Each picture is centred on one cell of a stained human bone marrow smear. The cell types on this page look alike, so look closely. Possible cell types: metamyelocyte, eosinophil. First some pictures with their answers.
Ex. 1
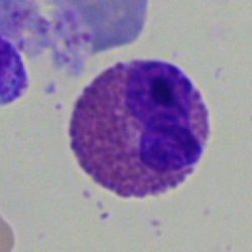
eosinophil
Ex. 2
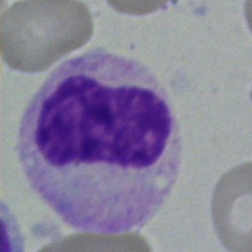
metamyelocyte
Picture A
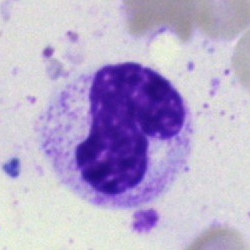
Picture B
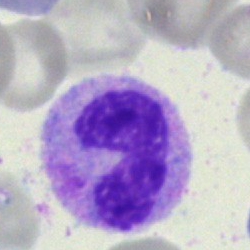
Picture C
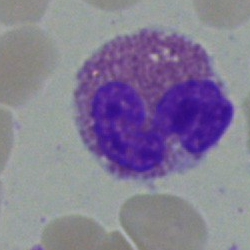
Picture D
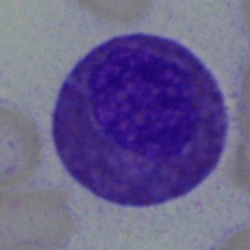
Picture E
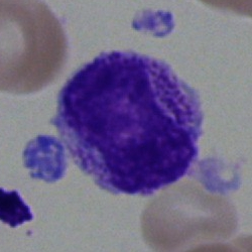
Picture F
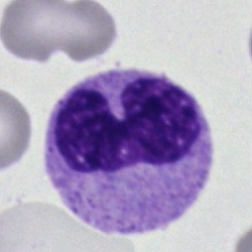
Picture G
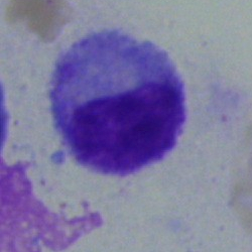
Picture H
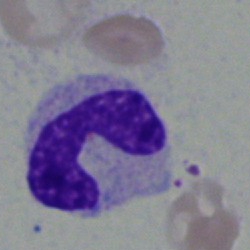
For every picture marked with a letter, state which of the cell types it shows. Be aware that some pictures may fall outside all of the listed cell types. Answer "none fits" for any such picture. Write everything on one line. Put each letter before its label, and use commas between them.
A none fits, B none fits, C eosinophil, D eosinophil, E metamyelocyte, F none fits, G metamyelocyte, H none fits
